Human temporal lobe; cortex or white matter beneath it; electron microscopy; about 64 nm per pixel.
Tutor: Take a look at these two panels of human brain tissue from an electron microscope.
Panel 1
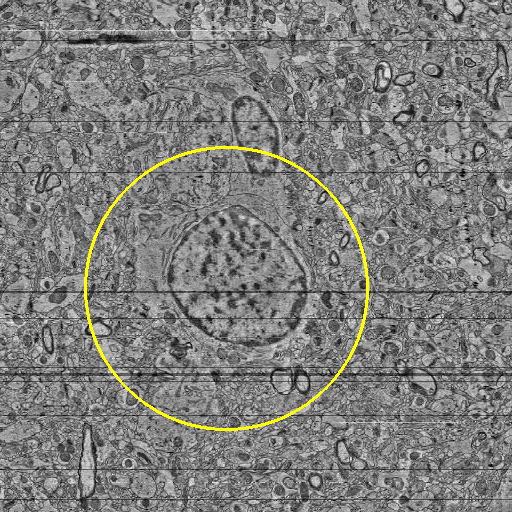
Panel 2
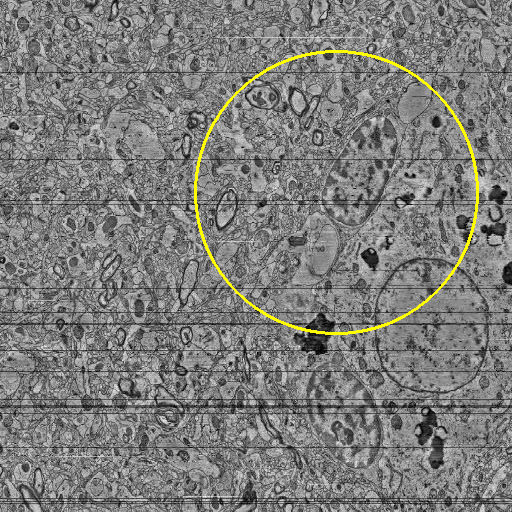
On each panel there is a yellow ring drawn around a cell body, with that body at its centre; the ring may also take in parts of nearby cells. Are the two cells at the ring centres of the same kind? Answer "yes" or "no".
yes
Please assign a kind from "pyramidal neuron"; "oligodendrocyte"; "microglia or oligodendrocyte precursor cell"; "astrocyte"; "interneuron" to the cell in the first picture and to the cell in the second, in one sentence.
The first and the second cell are each a microglial cell or oligodendrocyte precursor cell.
